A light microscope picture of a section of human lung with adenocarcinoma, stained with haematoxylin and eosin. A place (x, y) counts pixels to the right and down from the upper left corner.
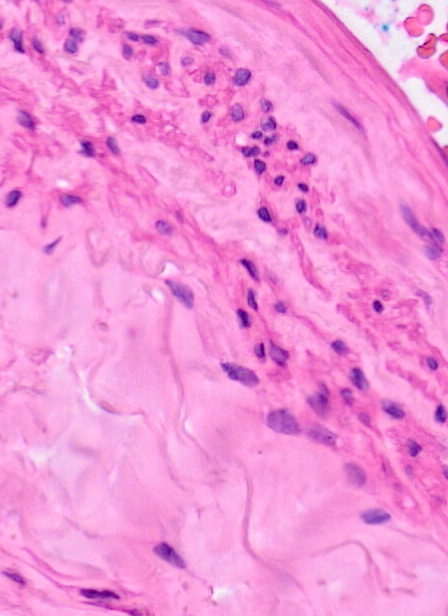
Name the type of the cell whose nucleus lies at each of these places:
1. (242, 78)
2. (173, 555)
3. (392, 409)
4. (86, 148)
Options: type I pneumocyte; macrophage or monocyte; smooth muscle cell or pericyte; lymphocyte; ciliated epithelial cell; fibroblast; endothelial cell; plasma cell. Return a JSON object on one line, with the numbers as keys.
{"1": "smooth muscle cell or pericyte", "2": "fibroblast", "3": "smooth muscle cell or pericyte", "4": "smooth muscle cell or pericyte"}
